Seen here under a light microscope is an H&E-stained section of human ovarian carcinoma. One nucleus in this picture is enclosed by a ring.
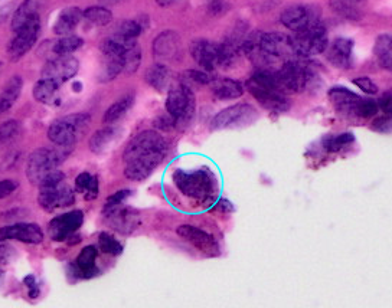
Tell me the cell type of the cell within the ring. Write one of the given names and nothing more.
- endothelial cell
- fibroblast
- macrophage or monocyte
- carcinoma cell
carcinoma cell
